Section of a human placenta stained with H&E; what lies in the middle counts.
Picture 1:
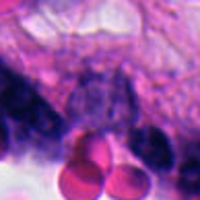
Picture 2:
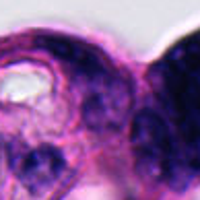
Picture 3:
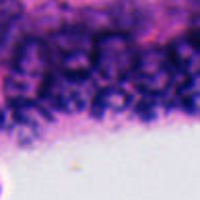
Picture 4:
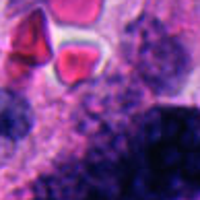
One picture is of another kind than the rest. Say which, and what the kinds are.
Picture 3 shows a syncytial knot; the rest show cytotrophoblasts.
